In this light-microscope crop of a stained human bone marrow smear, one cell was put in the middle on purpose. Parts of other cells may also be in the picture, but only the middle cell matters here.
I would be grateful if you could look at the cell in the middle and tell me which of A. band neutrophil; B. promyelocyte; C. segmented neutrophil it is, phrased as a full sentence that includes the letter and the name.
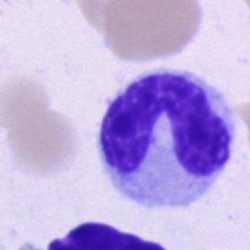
The centrally positioned cell is a band neutrophil, consistent with option A, which is correct.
